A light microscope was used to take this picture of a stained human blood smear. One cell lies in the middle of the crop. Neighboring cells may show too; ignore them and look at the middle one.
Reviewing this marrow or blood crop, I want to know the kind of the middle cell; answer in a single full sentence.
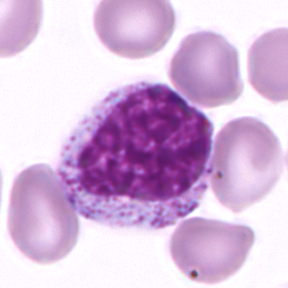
As for the cell in the middle, it is a metamyelocyte.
